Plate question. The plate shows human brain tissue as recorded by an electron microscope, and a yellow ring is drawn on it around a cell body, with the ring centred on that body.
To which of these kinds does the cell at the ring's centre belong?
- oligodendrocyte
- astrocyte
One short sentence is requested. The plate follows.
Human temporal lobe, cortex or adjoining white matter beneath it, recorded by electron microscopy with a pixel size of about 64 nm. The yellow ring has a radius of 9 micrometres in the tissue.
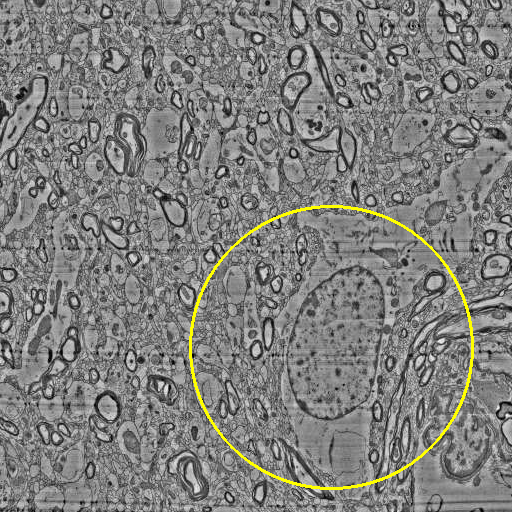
The cell at the ring's centre is an astrocyte.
